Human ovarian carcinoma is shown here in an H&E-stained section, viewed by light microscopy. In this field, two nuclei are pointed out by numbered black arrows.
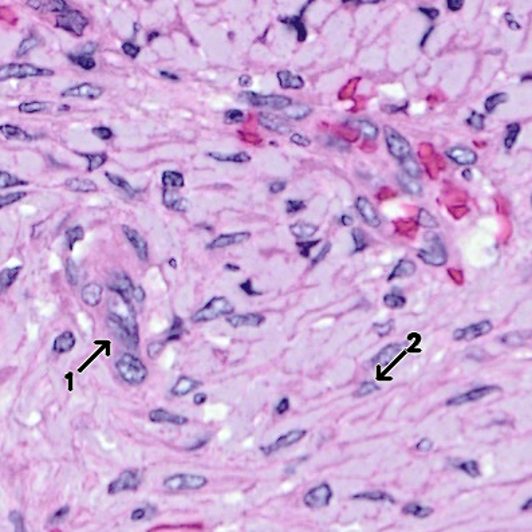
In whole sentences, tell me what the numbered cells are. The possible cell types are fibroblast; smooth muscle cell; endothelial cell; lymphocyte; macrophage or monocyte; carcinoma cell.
Cell 1 is an endothelial cell and cell 2 is a fibroblast.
